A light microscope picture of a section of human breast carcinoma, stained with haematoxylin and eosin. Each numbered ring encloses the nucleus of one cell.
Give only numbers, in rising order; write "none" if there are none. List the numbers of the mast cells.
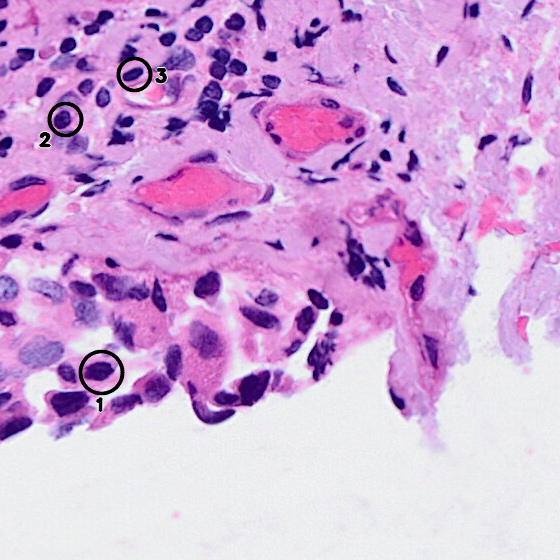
none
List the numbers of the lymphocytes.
2, 3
